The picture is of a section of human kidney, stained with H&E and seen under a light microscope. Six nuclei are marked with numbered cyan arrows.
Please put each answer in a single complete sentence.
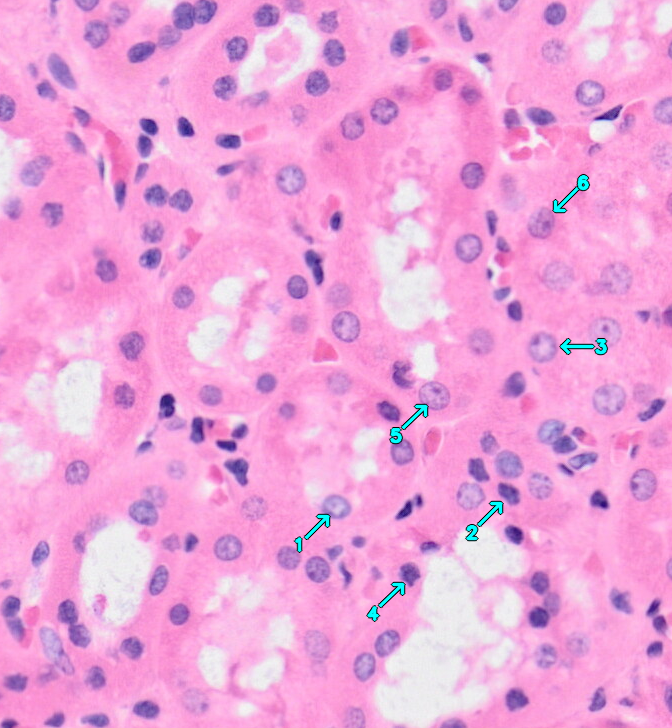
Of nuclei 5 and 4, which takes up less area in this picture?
The smaller nucleus is 4, and 5 covers roughly 1.5 times its area.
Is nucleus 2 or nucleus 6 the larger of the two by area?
Nucleus 6 covers more area, about 1.5 times as much as nucleus 2.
